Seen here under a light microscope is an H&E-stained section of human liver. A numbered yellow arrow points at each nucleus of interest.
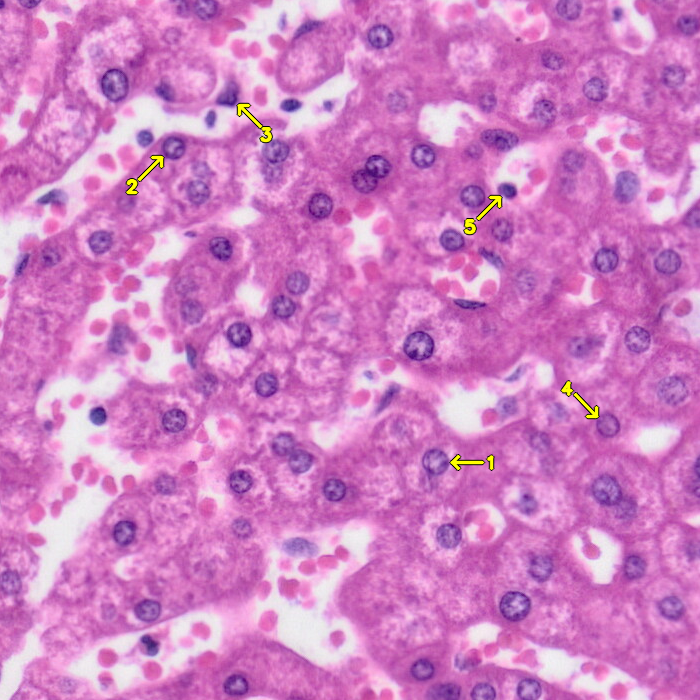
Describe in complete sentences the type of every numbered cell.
Cell 1 is a hepatocyte, cell 2 is a hepatocyte, cell 3 is a Kupffer cell, cell 4 is a hepatocyte and cell 5 is a lymphocyte.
